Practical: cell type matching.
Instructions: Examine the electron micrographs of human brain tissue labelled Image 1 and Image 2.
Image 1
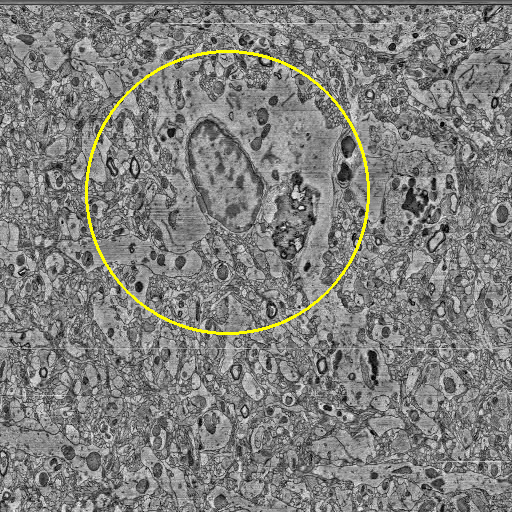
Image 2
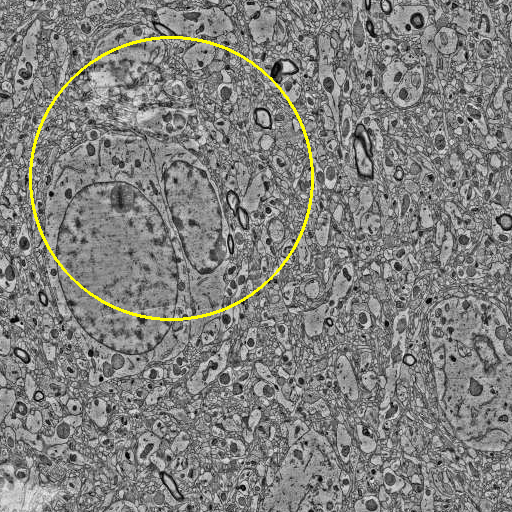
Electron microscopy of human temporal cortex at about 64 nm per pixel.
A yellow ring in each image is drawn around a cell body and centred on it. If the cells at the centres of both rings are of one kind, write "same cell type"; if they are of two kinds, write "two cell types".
same cell type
